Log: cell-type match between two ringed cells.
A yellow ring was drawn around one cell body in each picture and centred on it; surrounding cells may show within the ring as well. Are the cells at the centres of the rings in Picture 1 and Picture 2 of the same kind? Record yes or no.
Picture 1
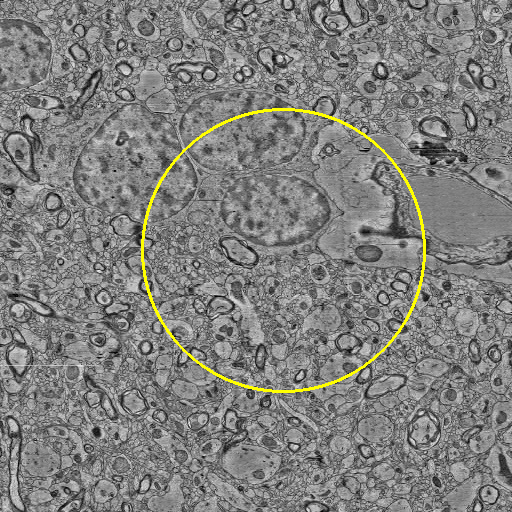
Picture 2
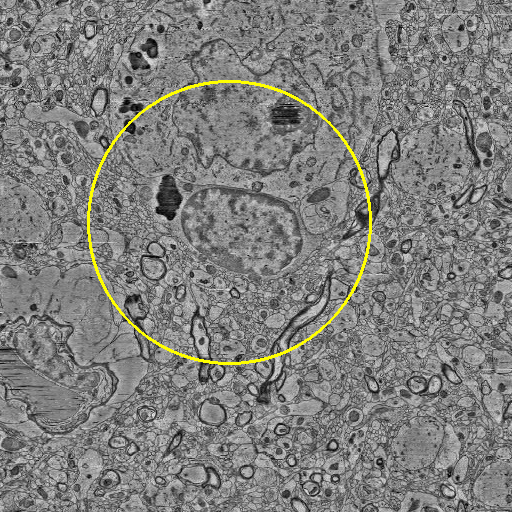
yes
